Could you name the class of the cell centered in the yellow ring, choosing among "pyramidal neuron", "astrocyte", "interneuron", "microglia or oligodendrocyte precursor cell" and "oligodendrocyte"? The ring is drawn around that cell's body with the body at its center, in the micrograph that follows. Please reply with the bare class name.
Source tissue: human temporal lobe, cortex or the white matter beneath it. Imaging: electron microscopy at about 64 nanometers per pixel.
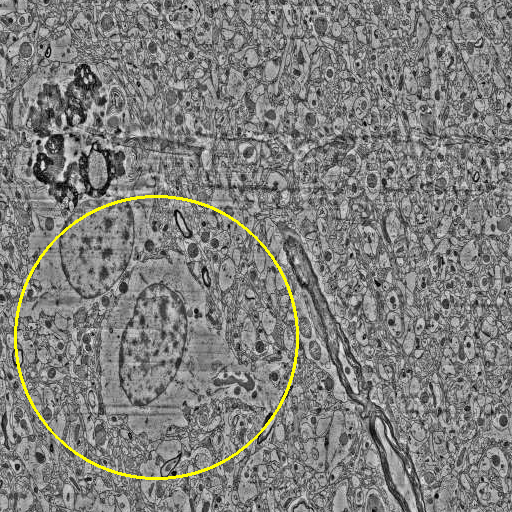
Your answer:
astrocyte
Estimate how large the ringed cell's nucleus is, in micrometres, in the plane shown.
Roughly 8 by 4 micrometres; in this plane, clearly longer than it is wide.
